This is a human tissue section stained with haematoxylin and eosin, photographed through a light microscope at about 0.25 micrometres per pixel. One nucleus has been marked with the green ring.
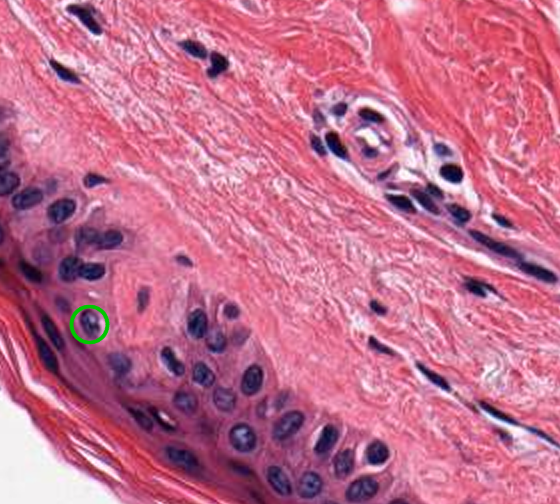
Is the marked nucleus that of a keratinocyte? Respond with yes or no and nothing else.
yes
